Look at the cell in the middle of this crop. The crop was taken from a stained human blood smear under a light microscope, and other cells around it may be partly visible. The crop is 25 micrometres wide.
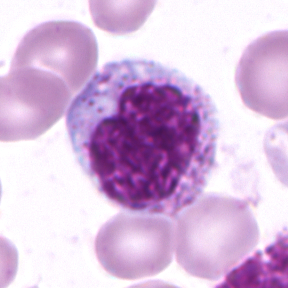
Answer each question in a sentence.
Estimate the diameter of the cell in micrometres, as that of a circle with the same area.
Taken as a circle, the cell has a diameter of about 13 micrometres.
